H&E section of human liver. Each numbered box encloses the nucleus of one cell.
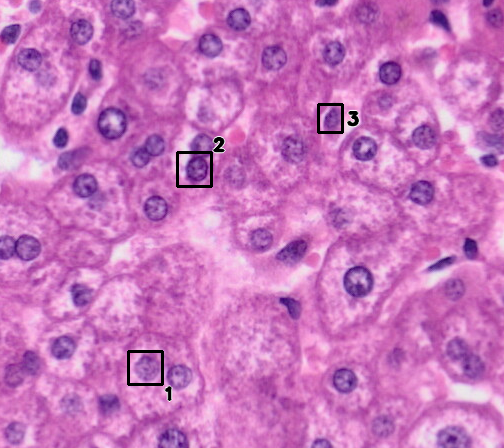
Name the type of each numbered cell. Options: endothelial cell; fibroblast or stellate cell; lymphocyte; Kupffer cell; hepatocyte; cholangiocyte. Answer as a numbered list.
1. hepatocyte
2. hepatocyte
3. Kupffer cell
